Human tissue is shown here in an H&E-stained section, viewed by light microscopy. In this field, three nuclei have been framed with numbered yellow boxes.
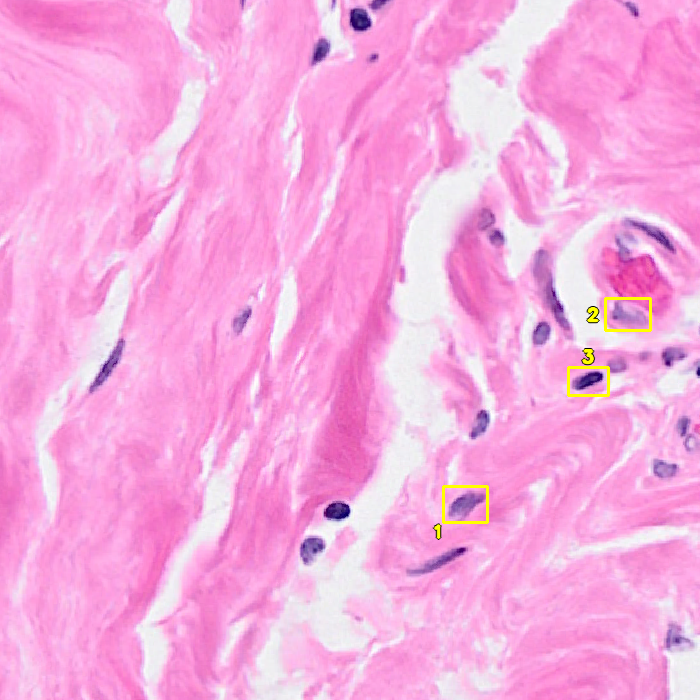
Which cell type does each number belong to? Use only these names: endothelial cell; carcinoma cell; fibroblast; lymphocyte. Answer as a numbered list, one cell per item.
1. fibroblast
2. endothelial cell
3. lymphocyte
